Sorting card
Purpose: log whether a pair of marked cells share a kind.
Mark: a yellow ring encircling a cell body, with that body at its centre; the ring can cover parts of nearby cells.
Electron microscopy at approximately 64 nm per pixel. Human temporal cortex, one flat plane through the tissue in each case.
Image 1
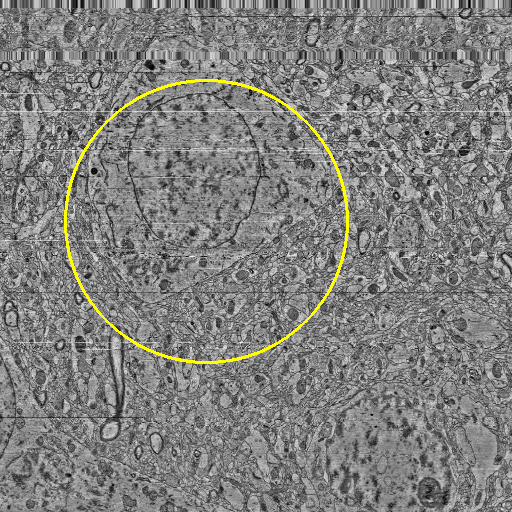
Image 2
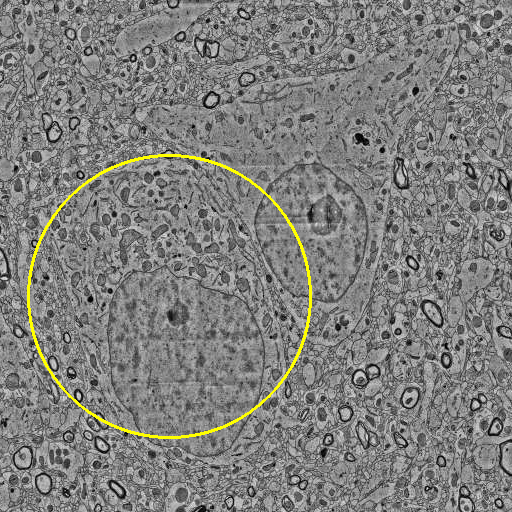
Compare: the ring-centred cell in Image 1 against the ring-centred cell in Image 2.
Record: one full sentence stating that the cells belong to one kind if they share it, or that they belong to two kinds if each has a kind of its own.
Across Images 1 and 2, the two ring-centred cells belong to two kinds.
